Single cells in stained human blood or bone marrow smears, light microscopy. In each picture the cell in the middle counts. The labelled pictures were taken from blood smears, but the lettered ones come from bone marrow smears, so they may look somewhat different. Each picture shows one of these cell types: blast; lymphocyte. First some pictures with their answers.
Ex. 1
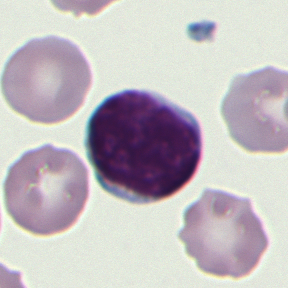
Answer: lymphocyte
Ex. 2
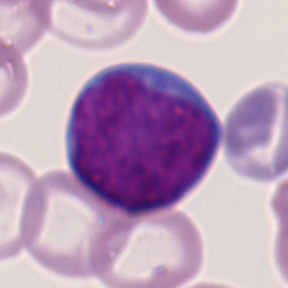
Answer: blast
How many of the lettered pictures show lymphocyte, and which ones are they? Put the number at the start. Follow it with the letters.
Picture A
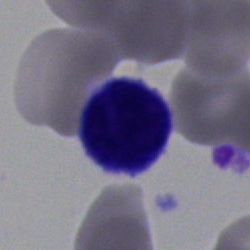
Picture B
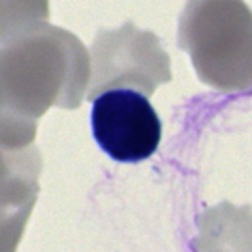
2, namely A, B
